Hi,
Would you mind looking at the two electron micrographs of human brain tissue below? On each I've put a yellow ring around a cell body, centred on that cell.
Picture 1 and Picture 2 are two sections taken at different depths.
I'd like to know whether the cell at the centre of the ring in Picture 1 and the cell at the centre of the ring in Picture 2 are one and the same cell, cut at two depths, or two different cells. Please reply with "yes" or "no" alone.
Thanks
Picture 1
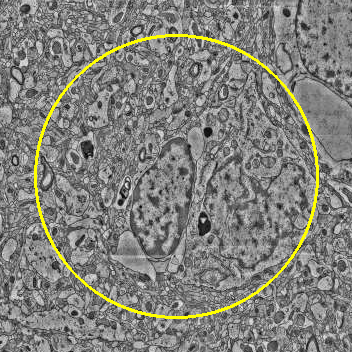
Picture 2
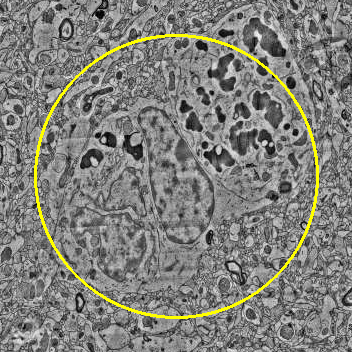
no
